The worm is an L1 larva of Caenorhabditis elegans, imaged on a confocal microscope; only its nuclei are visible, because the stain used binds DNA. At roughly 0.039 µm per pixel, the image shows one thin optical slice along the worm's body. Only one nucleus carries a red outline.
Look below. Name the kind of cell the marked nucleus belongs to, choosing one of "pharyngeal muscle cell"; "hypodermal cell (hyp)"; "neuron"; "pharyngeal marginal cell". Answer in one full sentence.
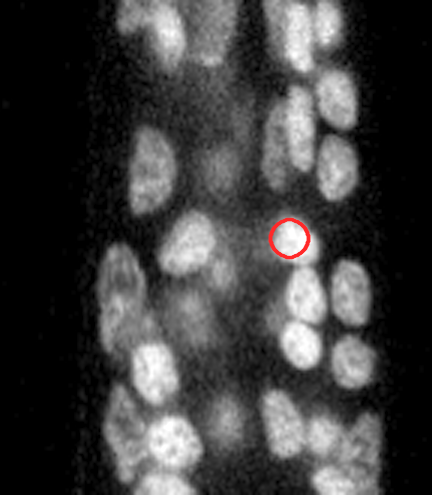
The nucleus comes from a pharyngeal muscle cell.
